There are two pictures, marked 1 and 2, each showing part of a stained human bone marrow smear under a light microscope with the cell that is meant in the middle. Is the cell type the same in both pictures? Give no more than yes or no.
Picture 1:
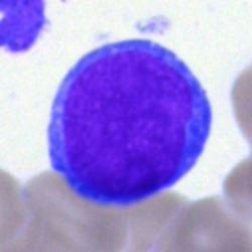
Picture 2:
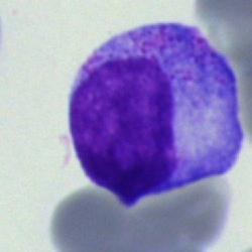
no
